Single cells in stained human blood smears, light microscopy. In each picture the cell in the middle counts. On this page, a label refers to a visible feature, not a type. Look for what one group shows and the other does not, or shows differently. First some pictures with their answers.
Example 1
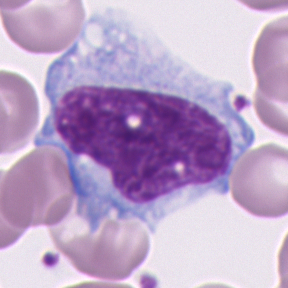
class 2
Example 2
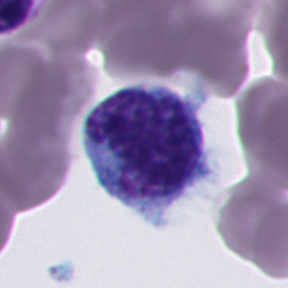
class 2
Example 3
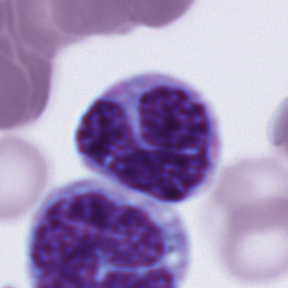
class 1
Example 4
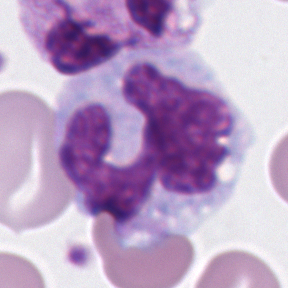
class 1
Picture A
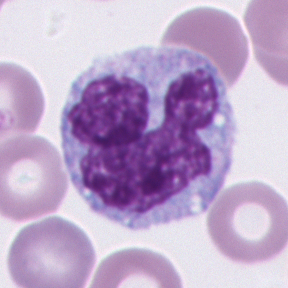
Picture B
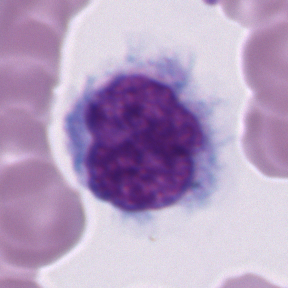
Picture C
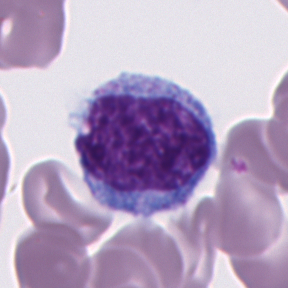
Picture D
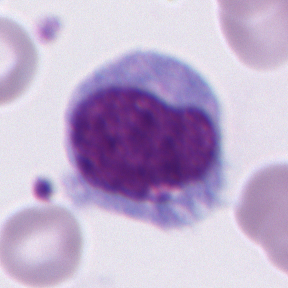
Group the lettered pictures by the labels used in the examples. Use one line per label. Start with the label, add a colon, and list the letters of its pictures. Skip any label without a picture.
class 2: B, C, D
class 1: A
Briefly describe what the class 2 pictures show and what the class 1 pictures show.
Seen in class 2: round or oval nucleus; seen in class 1: band-shaped nucleus.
